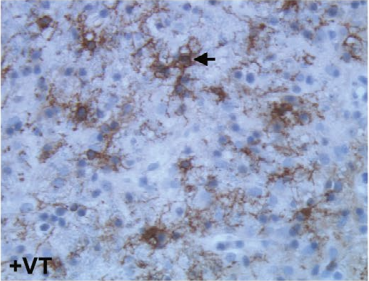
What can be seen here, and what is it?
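Scattered across pale tissue with many blue nuclei are small brown-stained cells with many fine branching processes. The marked cell has a compact body from which thin processes spread out in several directions.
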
